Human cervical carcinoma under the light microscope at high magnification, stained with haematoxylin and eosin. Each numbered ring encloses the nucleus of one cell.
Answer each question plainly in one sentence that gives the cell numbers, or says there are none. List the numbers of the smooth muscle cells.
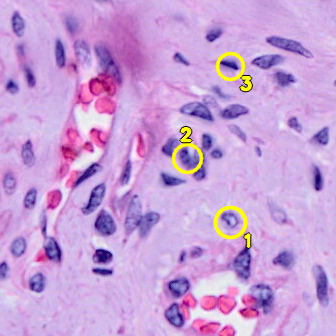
Cell 1 is a smooth muscle cell, and this holds for no other numbered cell.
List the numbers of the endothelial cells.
The one cell that is an endothelial cell is cell 2, and no other.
